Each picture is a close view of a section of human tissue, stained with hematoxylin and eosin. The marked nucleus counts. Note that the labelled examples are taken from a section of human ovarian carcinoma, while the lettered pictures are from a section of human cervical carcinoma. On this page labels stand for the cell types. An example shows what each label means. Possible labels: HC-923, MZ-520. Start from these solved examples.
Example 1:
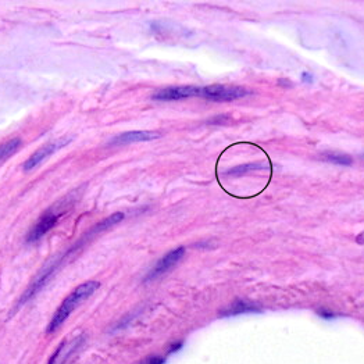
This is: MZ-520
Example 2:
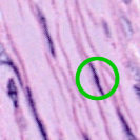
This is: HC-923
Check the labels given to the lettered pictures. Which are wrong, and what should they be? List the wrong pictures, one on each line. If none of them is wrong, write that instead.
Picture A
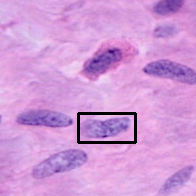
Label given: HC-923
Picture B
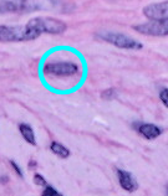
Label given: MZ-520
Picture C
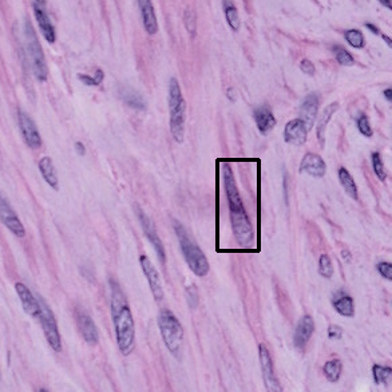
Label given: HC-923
Wrong: C (HC-923); correct: MZ-520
